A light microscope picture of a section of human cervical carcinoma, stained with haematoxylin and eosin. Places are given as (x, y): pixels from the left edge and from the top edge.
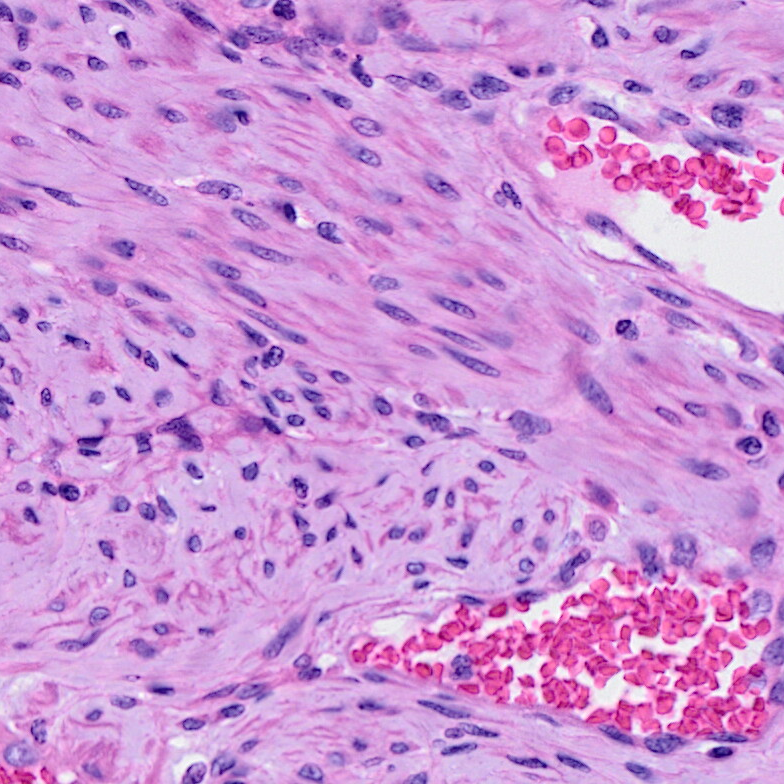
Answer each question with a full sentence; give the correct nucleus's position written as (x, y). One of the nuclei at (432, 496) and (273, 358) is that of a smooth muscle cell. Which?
Here the nucleus at (432, 496) is the one that belongs to a smooth muscle cell.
